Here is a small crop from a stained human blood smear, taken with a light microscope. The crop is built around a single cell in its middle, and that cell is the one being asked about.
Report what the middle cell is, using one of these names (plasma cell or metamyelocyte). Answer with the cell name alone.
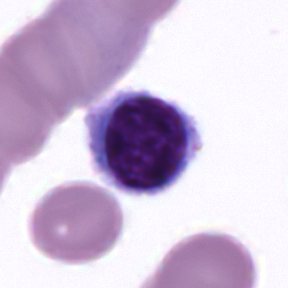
plasma cell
